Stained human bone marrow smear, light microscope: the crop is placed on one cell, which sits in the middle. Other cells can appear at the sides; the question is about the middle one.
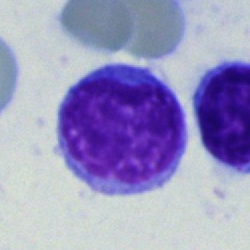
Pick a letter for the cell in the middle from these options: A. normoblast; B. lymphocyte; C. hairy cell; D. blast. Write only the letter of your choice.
B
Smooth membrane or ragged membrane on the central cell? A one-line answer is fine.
In short, the margin is smooth with no projections at all.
